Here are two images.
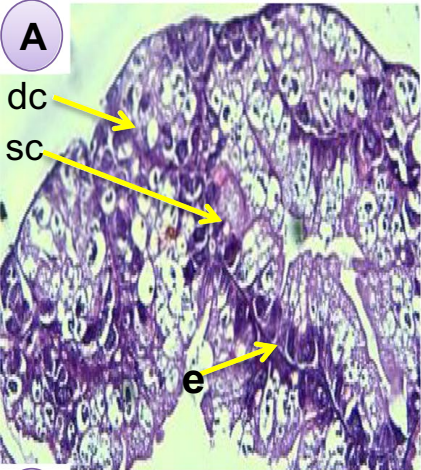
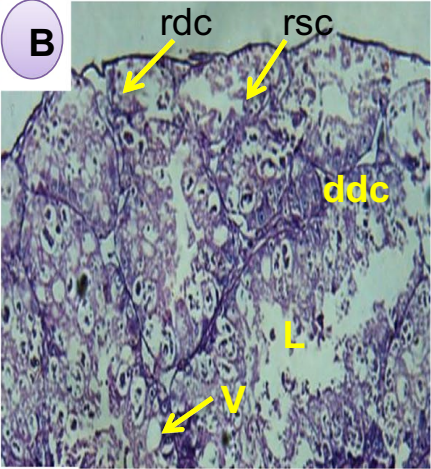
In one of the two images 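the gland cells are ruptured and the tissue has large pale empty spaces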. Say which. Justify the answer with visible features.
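Second image: pale, loosened tubules with broken cell borders and wide empty spaces. First image: compact, deeply stained tubules with intact columnar cells. So: the second image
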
